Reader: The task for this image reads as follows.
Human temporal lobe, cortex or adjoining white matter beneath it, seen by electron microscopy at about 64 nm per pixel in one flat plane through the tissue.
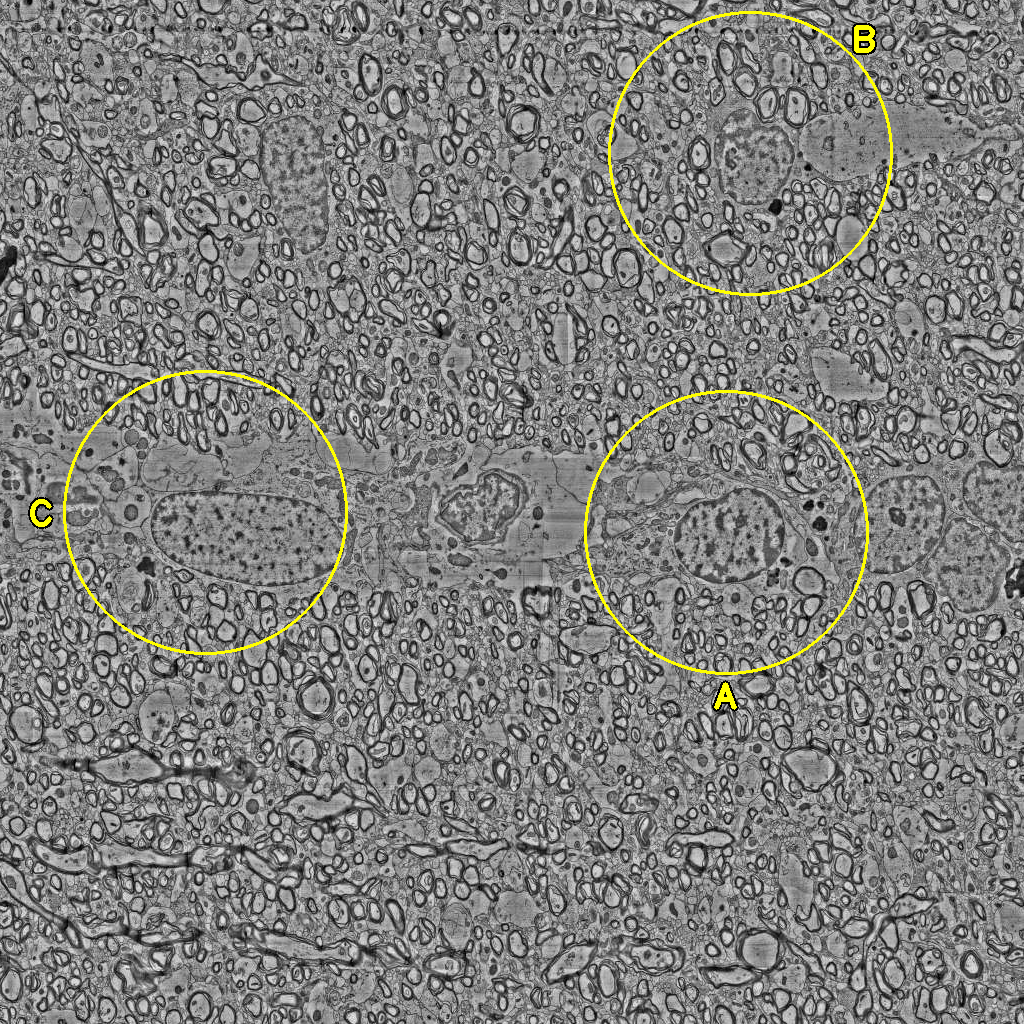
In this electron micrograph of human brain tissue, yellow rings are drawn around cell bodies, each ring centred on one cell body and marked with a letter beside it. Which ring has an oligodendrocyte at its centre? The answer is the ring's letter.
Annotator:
B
